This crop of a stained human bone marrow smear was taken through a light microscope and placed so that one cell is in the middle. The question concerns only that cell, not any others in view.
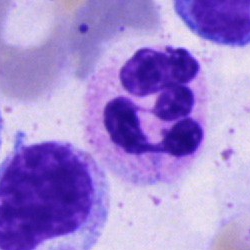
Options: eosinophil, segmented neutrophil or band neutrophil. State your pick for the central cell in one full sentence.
In the middle of this smear crop, the cell is a segmented neutrophil.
